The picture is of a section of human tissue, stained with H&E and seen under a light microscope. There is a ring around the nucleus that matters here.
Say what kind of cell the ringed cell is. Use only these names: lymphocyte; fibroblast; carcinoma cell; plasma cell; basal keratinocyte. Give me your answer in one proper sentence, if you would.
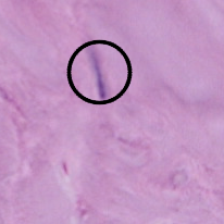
So far as cell type goes, the ringed cell is a fibroblast.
